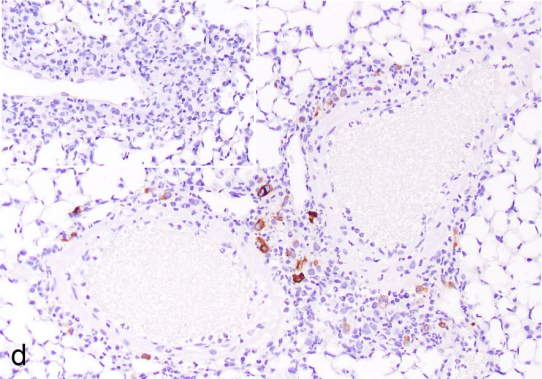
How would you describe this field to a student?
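Lung with large blood-filled vessels cuffed by dense perivascular infiltrates of small round mononuclear cells with dark nuclei. Scattered cells within these cuffs carry brown cytoplasmic stain, while most are unstained and blue. The surrounding alveolar parenchyma has thin septa and open air spaces.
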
